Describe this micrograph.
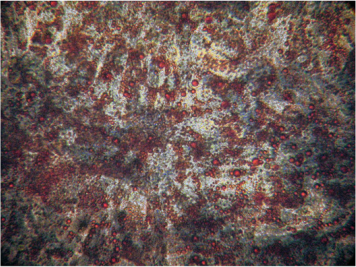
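Dense monolayer culture of adipocytes seen at low magnification. Numerous small round red-stained lipid droplets crowd the field, gathered in clusters. Individual cell borders are hard to make out because the culture is confluent and the droplets overlap. A few larger red droplets stand out among the many small ones.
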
